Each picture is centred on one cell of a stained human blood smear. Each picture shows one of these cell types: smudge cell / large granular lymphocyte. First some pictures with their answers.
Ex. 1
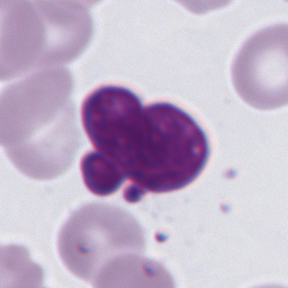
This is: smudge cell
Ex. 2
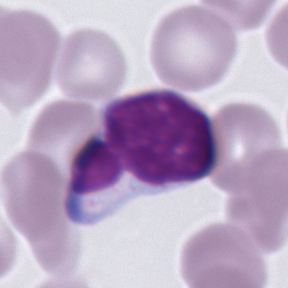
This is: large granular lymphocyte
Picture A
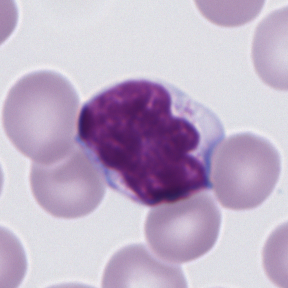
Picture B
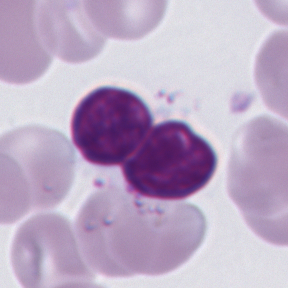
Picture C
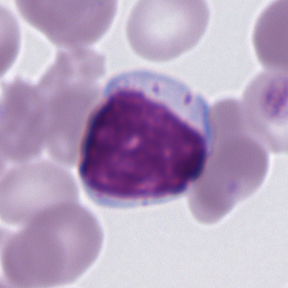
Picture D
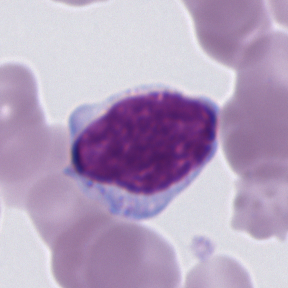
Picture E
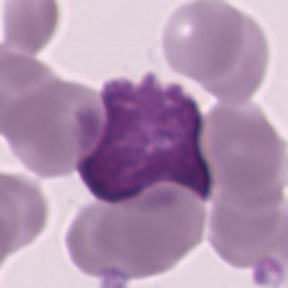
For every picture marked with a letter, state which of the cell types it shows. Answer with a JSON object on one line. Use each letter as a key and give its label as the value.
{"A": "large granular lymphocyte", "B": "smudge cell", "C": "large granular lymphocyte", "D": "large granular lymphocyte", "E": "smudge cell"}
